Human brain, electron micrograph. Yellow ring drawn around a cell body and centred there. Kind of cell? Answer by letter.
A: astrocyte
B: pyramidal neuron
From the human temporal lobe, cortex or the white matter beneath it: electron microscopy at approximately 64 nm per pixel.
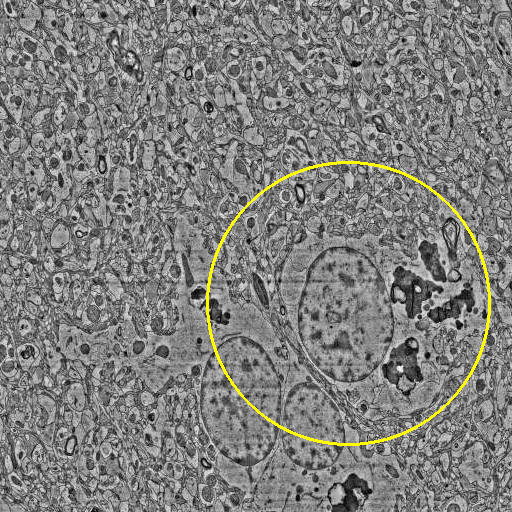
A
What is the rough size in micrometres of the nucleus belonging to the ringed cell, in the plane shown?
In this plane the nucleus measures roughly 9 by 6 micrometers.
